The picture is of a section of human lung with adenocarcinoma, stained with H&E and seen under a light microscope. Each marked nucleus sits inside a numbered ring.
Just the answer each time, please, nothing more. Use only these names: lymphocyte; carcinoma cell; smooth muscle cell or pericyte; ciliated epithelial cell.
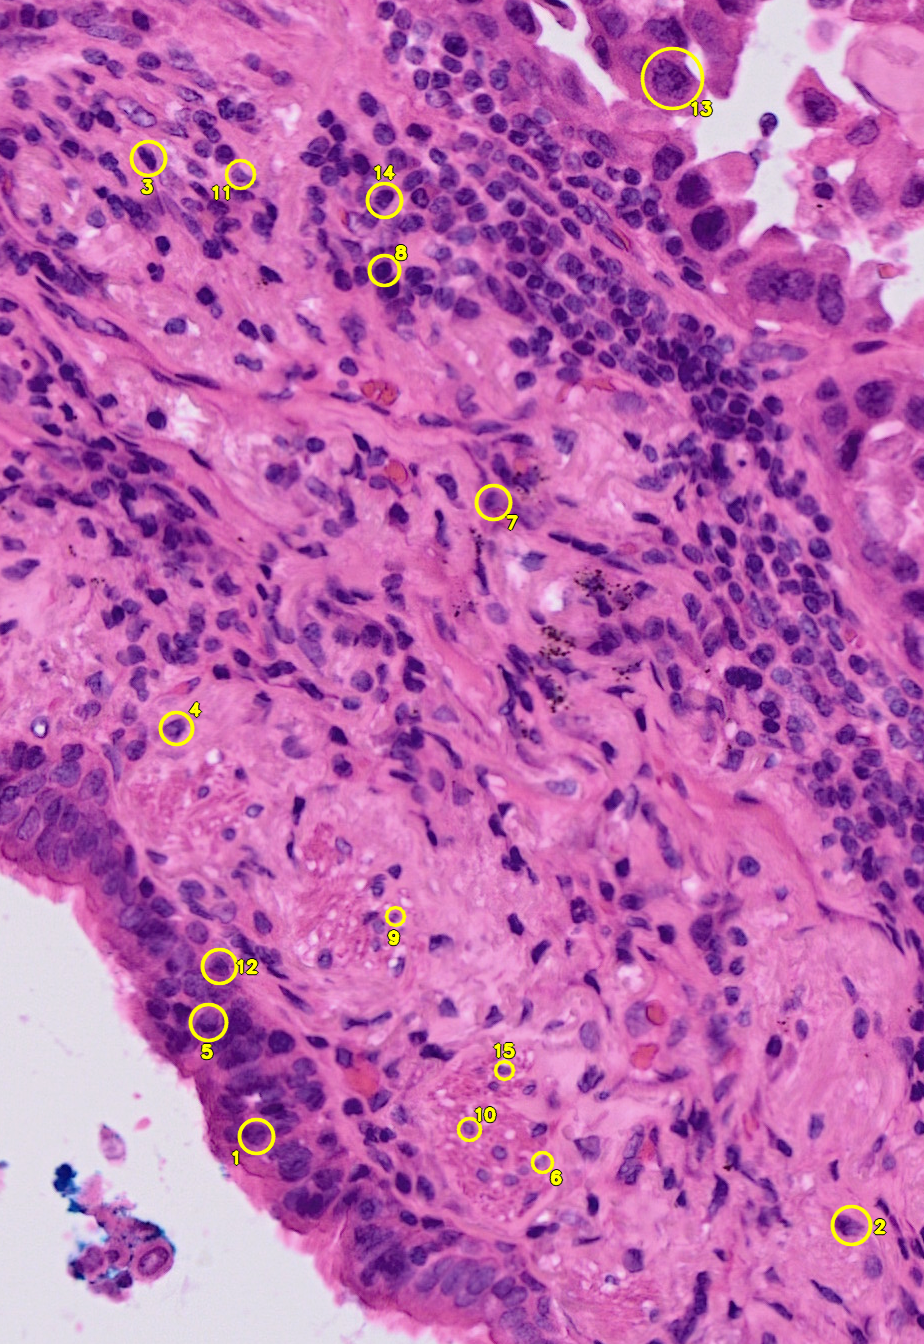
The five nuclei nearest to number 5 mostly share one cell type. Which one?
ciliated epithelial cell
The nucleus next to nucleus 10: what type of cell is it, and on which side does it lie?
a smooth muscle cell or pericyte below and to the right of nucleus 10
